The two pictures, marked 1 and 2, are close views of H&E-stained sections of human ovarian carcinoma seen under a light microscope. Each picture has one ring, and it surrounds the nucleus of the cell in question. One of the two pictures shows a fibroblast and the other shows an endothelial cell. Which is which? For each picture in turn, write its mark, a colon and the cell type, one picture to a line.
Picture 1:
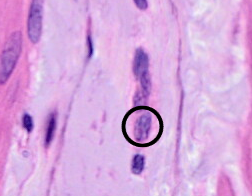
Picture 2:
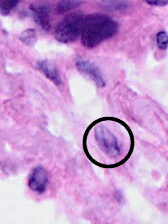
1: endothelial cell
2: fibroblast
